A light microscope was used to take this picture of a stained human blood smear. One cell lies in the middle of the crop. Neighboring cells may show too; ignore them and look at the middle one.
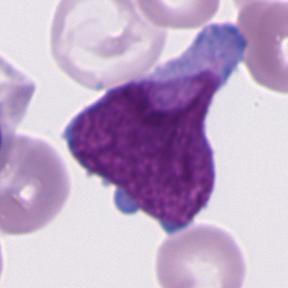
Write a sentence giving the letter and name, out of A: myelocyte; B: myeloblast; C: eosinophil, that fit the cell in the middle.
The cell in the center of this crop is a myeloblast, so option B is the one to pick.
